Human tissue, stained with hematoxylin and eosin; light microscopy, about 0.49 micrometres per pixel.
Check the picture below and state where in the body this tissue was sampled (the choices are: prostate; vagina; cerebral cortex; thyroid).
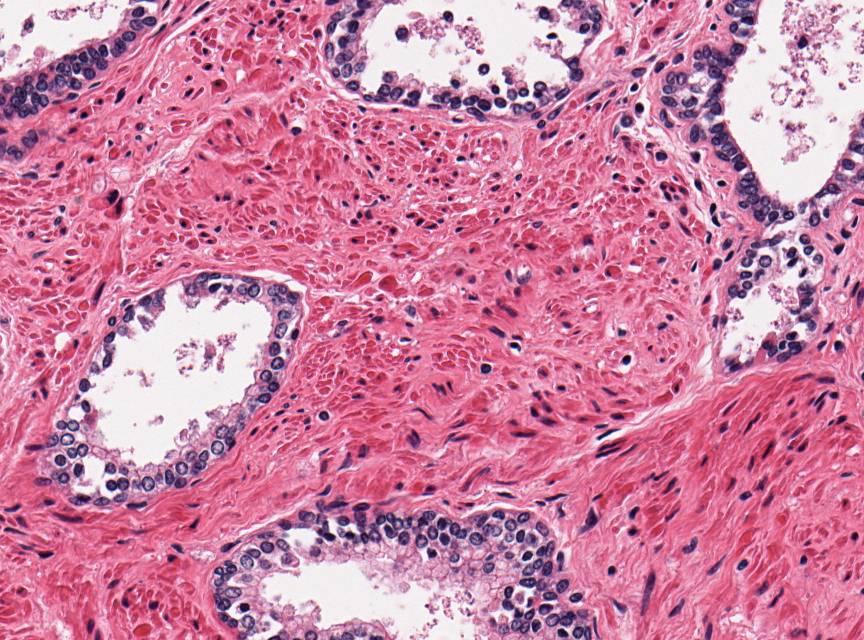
prostate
